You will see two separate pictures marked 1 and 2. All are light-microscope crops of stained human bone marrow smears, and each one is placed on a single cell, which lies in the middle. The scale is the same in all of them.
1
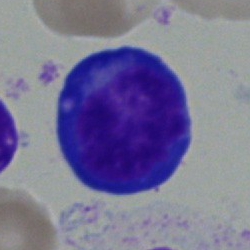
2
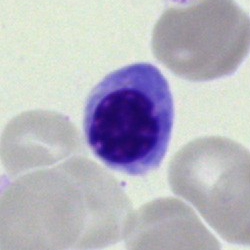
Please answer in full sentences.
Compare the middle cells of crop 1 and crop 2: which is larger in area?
It is the cell in crop 1, about 2 times as large in area as the cell in crop 2.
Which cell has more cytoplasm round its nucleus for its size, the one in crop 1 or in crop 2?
In crop 2 the nucleus takes up the smaller part of its cell.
